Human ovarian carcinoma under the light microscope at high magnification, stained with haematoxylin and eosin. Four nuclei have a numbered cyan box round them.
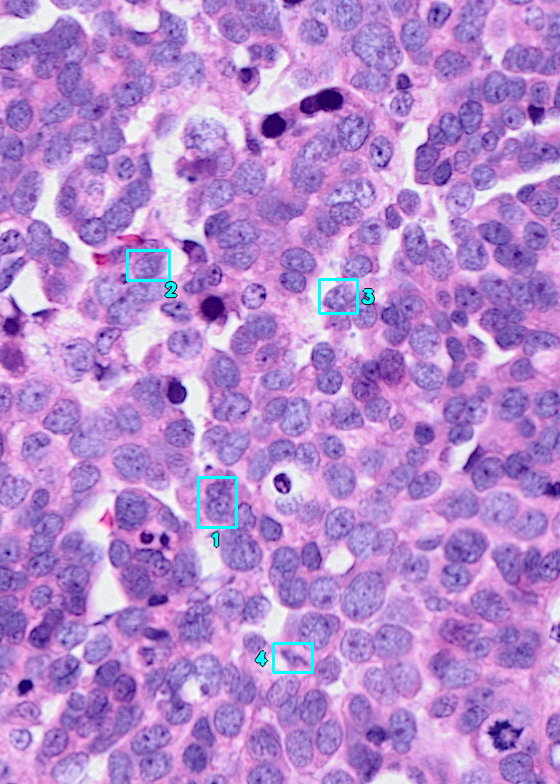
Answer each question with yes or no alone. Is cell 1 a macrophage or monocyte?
no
